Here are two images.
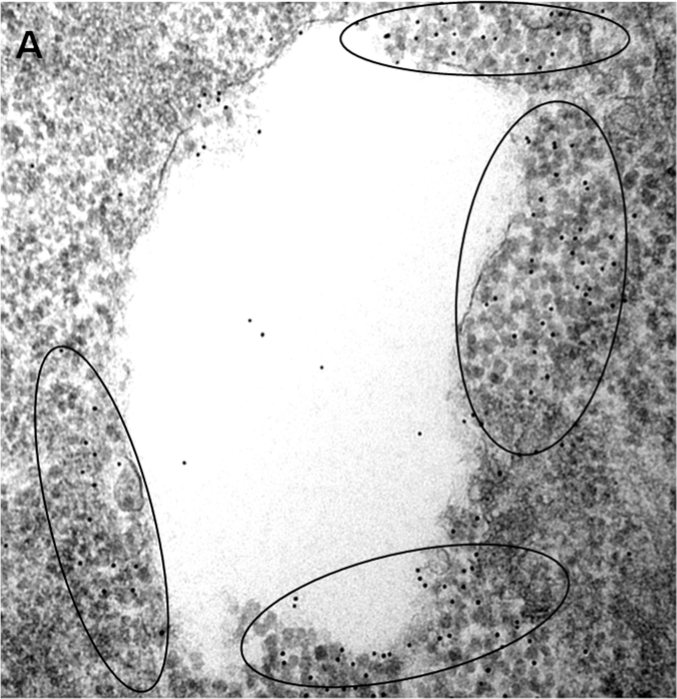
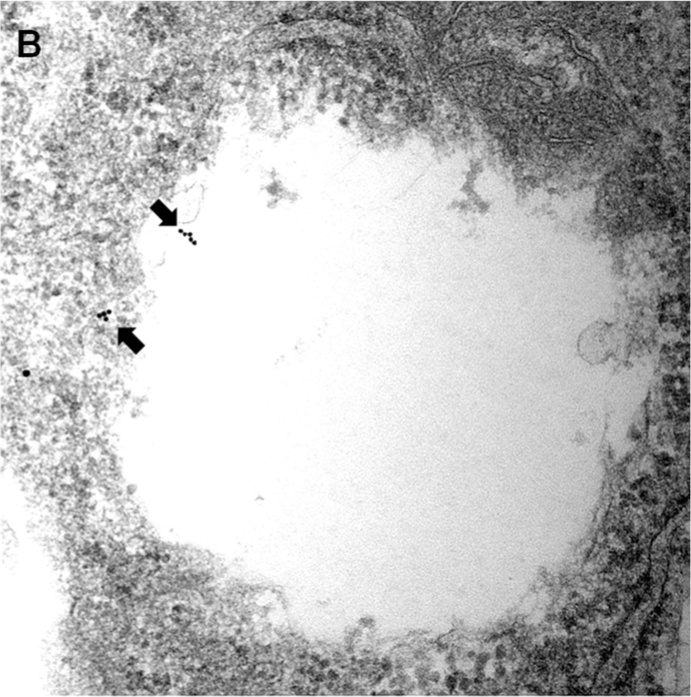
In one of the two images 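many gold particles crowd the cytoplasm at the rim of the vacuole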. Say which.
The first image.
